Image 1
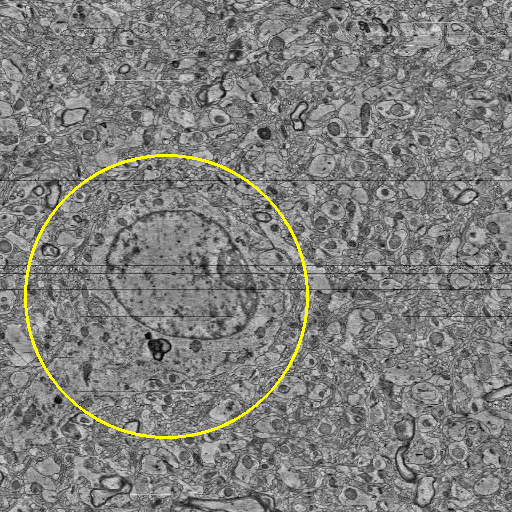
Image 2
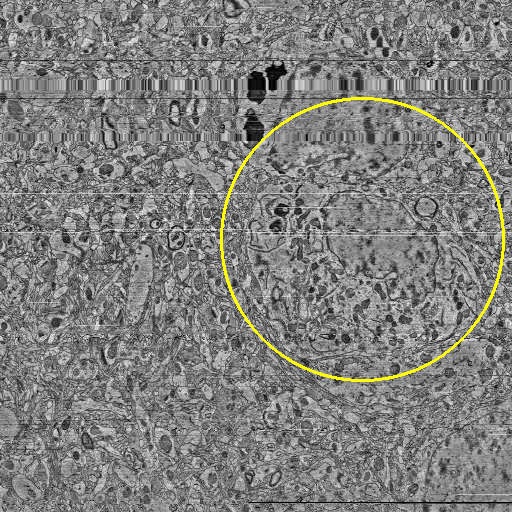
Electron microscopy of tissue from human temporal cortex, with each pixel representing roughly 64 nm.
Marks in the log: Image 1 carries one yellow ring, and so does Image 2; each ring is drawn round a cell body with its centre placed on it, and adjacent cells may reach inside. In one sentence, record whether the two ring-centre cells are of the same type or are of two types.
The two cells at the ring centres, one in each image, are of two types.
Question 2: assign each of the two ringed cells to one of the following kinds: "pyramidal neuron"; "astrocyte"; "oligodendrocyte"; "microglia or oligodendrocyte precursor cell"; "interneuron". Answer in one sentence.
The two cells are a pyramidal neuron in the first picture and an interneuron in the second.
